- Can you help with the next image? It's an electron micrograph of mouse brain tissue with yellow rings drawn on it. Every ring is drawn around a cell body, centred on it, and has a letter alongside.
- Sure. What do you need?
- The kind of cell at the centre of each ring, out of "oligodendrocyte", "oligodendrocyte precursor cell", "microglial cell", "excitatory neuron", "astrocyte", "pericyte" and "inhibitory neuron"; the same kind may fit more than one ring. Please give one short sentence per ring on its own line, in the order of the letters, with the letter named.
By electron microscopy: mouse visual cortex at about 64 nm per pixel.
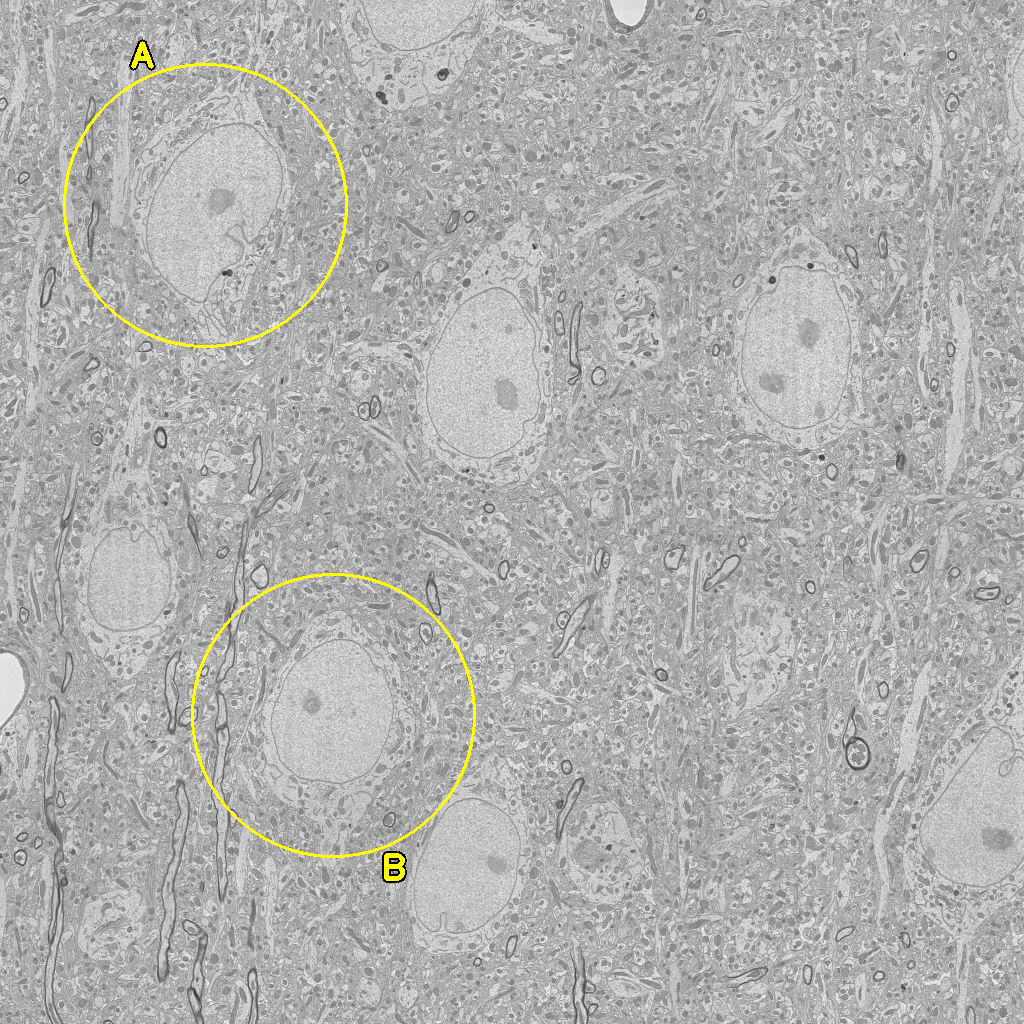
Ring A picks out an inhibitory neuron.
Ring B picks out an excitatory neuron.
